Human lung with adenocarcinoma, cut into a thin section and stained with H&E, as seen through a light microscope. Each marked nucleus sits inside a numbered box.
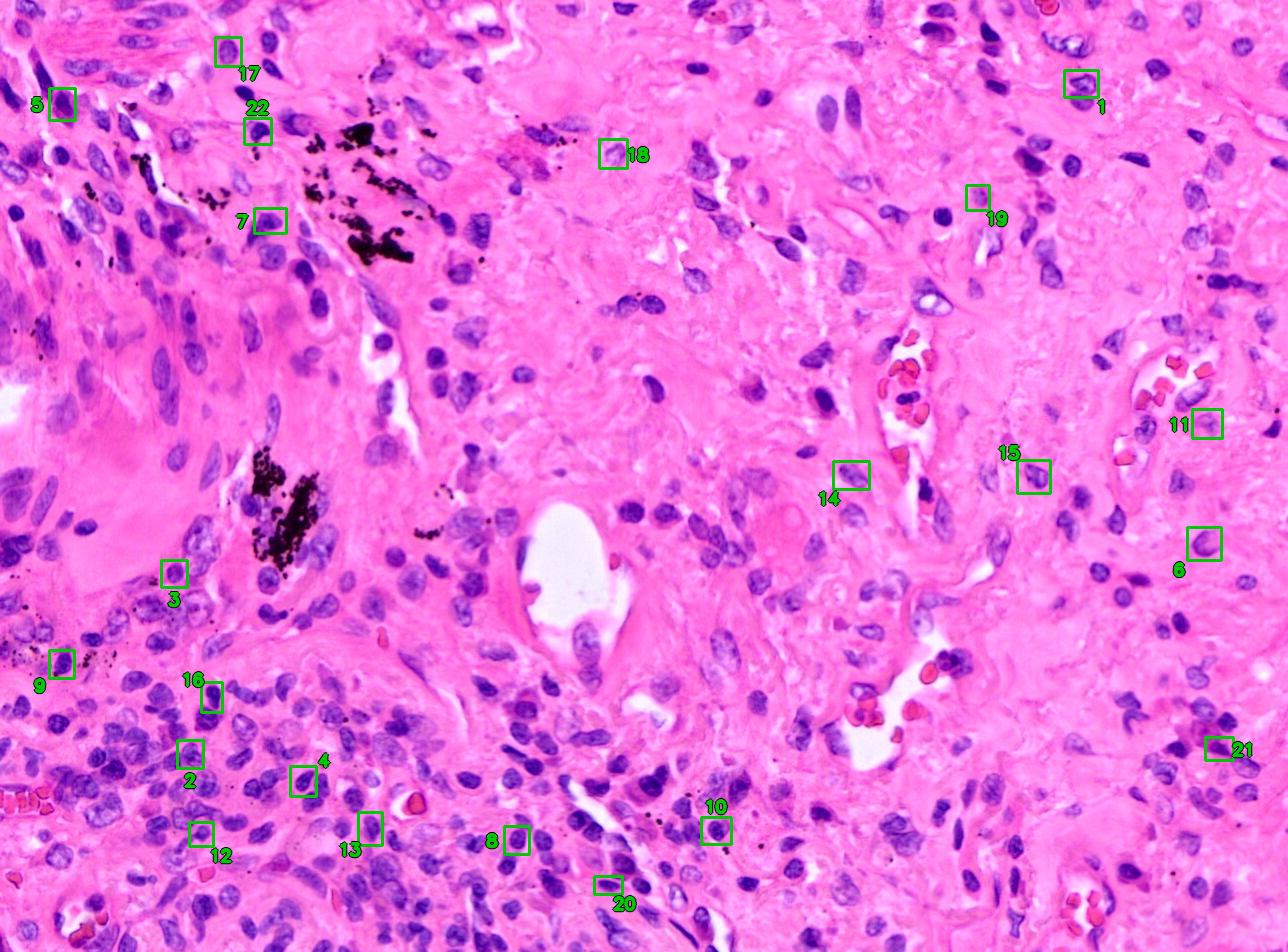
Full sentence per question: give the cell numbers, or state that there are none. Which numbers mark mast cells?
Regarding the numbered cells 17 and 19, these are mast cells.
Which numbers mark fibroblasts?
Marked by the numbers 1, 6, 11, 14, 15 and 18 are cells that are fibroblasts.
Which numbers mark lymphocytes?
The cells tagged 2, 3, 4, 7, 8, 9, 10, 12, 13, 16, 20 and 22 are lymphocytes in this tissue section.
